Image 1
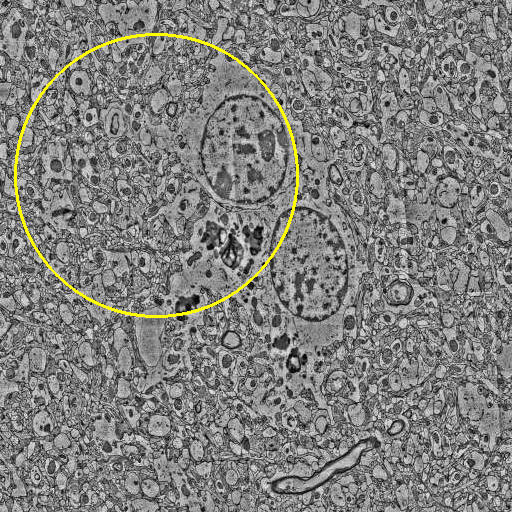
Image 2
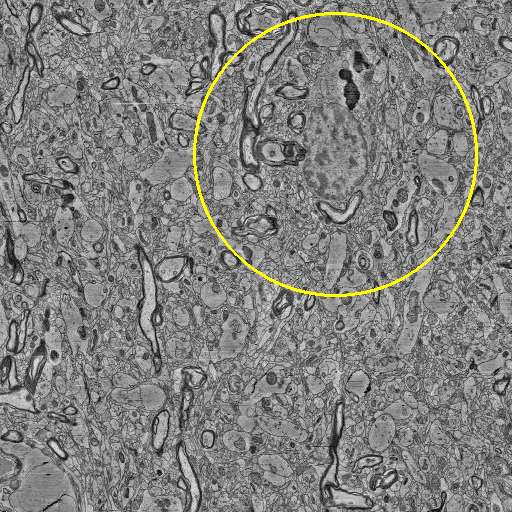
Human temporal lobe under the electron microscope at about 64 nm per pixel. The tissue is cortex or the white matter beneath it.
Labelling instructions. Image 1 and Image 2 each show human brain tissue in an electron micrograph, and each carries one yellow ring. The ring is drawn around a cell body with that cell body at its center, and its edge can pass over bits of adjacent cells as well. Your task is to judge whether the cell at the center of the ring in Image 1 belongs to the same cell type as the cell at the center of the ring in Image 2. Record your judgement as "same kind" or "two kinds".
two kinds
